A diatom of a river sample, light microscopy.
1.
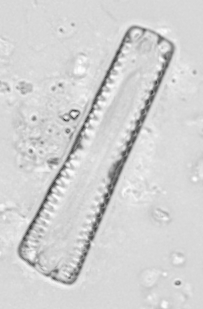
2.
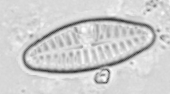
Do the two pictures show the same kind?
No: Gomphonema, then Planothidium.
